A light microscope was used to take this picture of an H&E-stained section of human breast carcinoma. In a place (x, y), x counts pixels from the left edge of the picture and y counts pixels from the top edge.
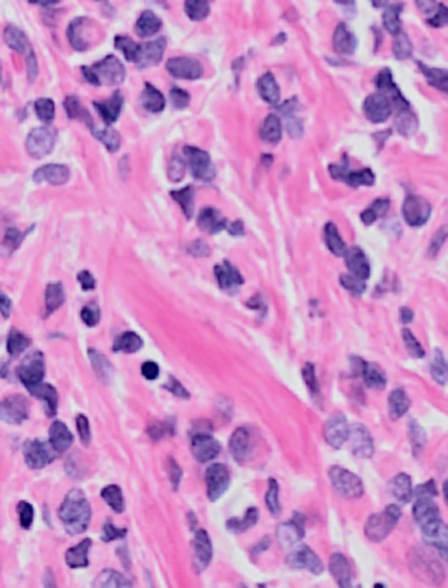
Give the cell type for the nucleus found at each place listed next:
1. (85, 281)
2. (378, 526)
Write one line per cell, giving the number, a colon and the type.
1: lymphocyte
2: carcinoma cell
